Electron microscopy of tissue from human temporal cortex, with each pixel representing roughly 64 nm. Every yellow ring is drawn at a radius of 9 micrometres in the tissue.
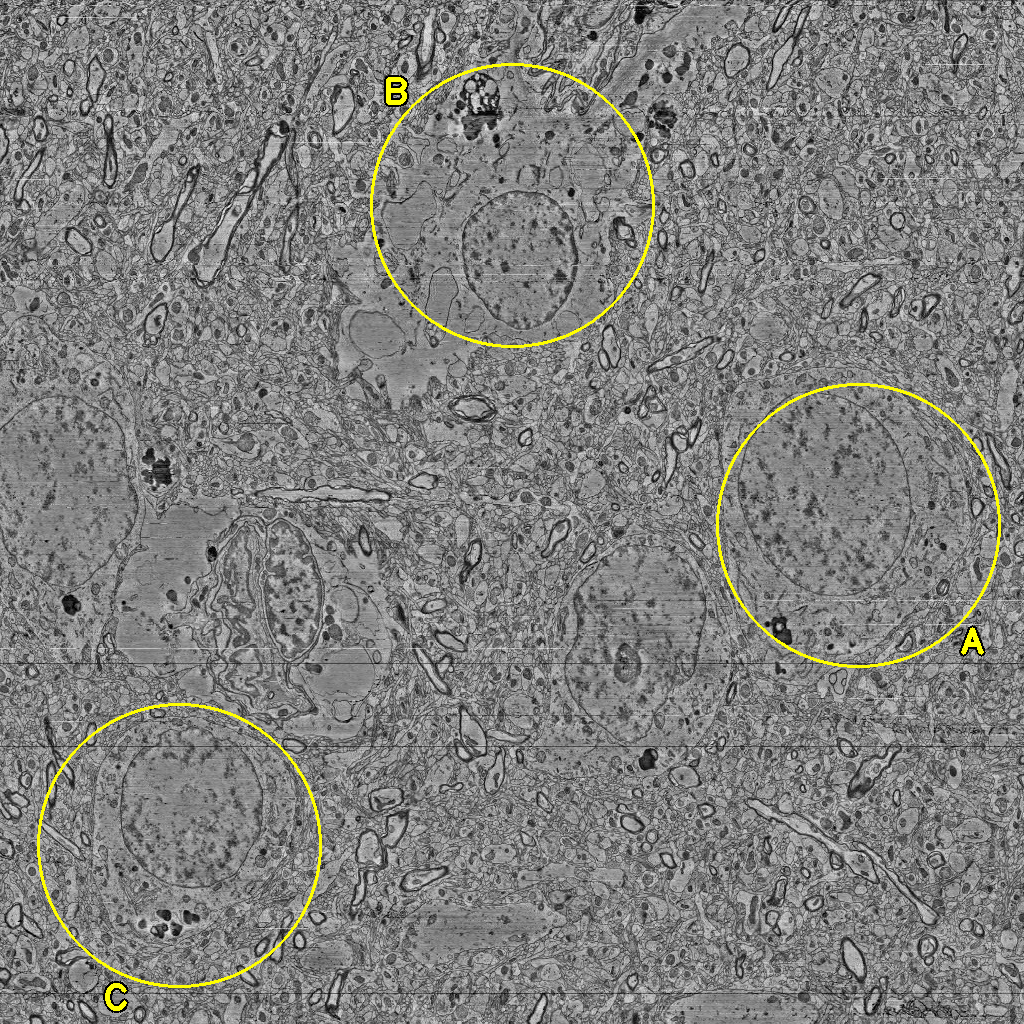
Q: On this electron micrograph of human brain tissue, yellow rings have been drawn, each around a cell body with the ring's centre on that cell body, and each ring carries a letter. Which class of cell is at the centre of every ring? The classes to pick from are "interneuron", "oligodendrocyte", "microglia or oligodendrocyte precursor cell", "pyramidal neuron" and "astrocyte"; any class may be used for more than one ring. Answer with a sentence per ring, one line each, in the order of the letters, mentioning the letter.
The centre of ring A is occupied by a pyramidal neuron.
The centre of ring B is occupied by an astrocyte.
The centre of ring C is occupied by a pyramidal neuron.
